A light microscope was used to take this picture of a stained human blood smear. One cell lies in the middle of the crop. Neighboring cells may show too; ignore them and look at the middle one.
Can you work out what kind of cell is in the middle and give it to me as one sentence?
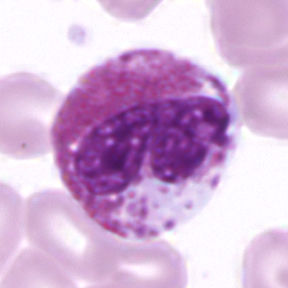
The center cell of this crop is an eosinophil.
